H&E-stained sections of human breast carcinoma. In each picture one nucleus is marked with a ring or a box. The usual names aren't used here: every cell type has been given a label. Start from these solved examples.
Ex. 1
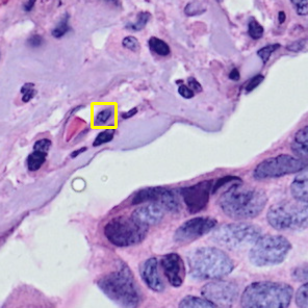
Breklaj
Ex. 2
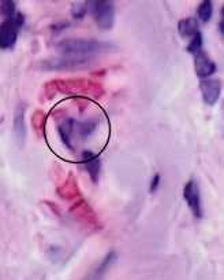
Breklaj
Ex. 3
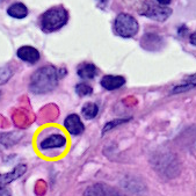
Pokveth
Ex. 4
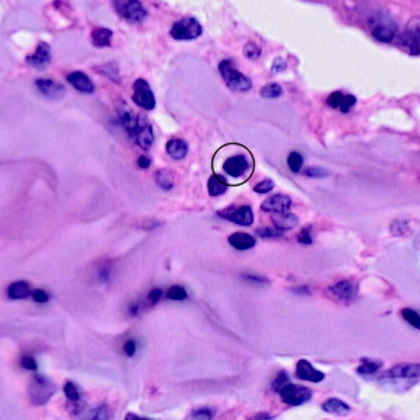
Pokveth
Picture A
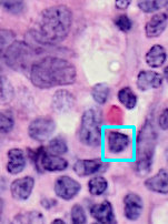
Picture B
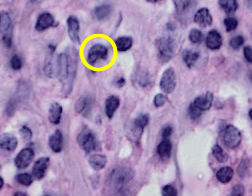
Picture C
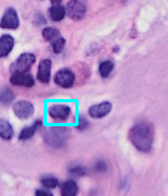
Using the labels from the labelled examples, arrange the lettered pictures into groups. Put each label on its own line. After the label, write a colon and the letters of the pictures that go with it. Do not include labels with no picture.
Pokveth: A, B, C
